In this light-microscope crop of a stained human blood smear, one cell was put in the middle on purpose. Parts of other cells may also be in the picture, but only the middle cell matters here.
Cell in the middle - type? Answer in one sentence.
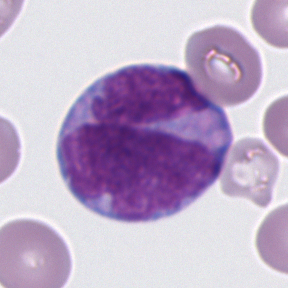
Occupying the centre of the crop is an atypical promyelocyte.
